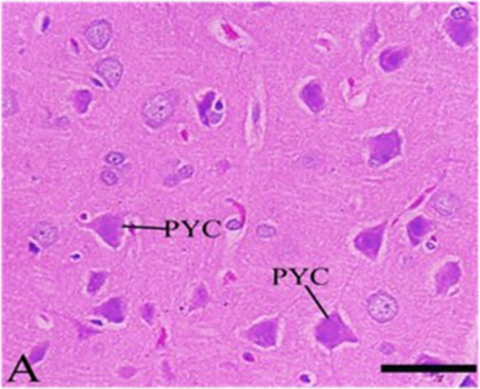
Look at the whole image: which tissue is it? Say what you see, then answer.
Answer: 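Large triangular purple cell bodies with tapering processes are scattered in pink neuropil. Round cells with pale nuclei and distinct nucleoli lie between them. Small capillaries with red blood cells run through the tissue. So: cerebral cortex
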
